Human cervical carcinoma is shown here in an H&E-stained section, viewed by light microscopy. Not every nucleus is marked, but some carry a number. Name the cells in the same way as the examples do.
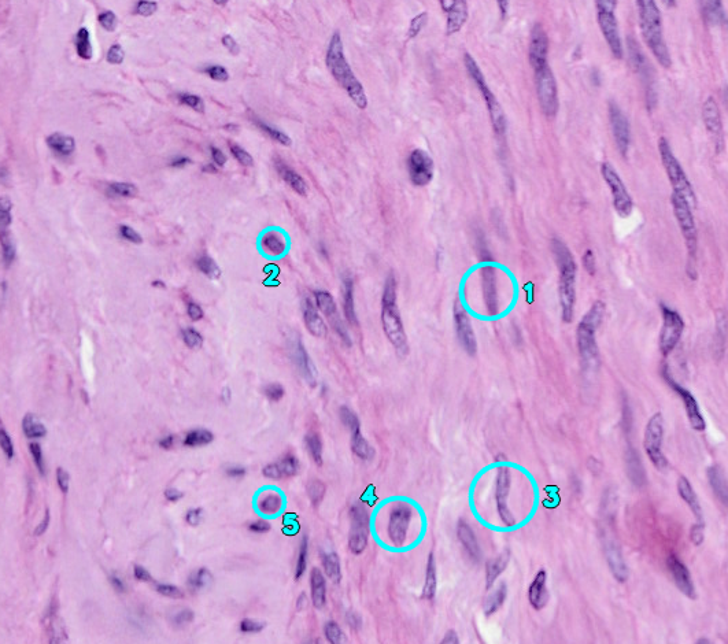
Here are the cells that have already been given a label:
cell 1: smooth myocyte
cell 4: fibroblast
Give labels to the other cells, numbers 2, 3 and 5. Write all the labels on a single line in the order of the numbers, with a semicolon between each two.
smooth myocyte; fibroblast; smooth myocyte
